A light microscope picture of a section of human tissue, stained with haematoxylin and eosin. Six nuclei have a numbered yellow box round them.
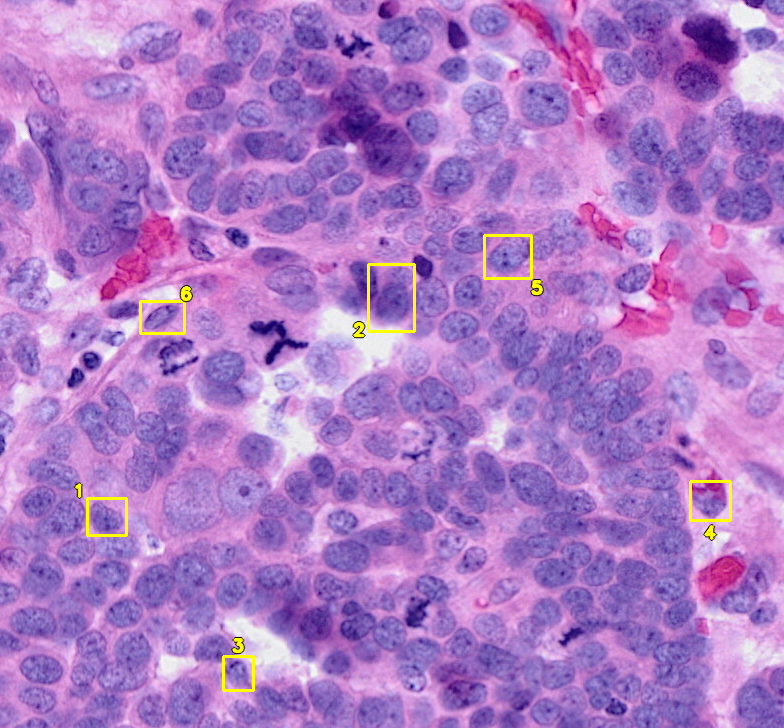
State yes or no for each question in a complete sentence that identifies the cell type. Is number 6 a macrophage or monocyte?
Yes, the numbered cell 6 is identified as a macrophage or monocyte.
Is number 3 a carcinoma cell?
No, the cell with number 3 is not a carcinoma cell but a macrophage or monocyte.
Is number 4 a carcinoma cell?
No. Cell number 4 is an endothelial cell, not a carcinoma cell.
